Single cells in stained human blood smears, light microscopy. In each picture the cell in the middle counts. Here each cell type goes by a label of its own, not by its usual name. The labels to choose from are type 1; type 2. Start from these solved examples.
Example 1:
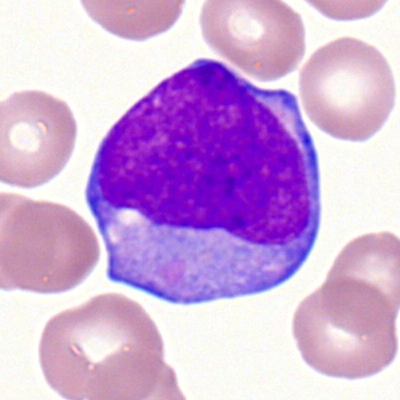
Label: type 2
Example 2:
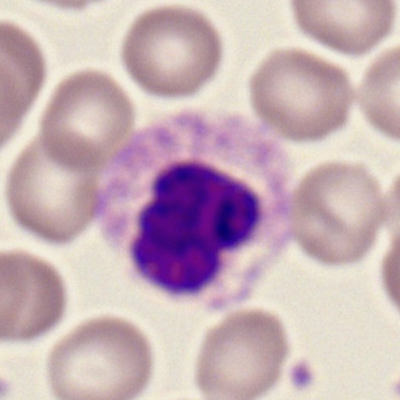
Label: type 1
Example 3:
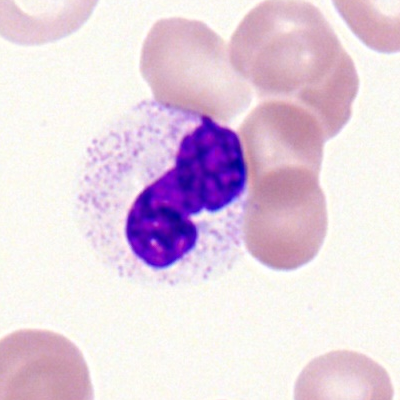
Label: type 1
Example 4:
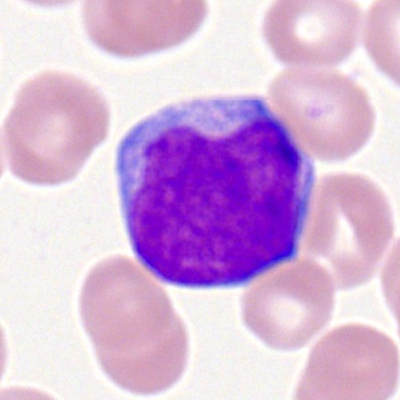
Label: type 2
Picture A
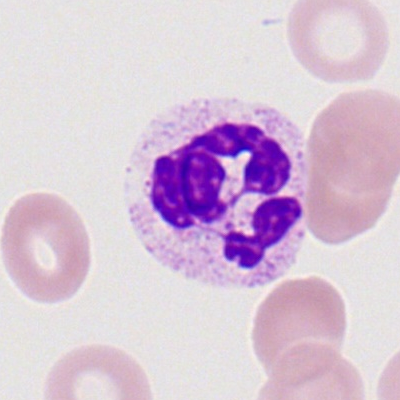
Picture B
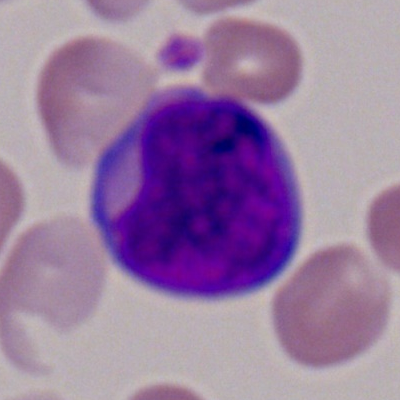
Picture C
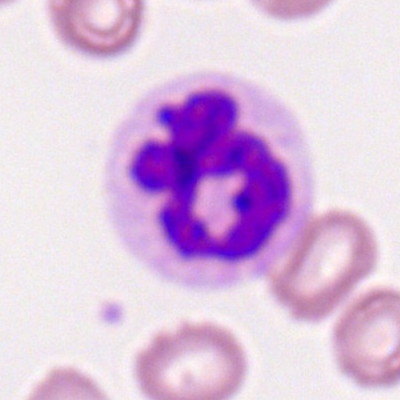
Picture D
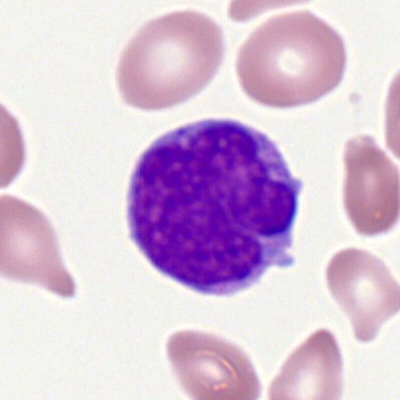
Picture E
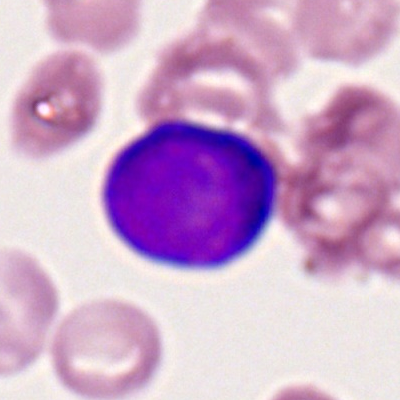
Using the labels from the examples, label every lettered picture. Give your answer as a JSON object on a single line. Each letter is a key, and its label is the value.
{"A": "type 1", "B": "type 2", "C": "type 1", "D": "type 2", "E": "type 2"}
